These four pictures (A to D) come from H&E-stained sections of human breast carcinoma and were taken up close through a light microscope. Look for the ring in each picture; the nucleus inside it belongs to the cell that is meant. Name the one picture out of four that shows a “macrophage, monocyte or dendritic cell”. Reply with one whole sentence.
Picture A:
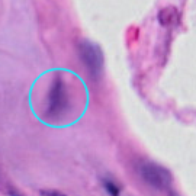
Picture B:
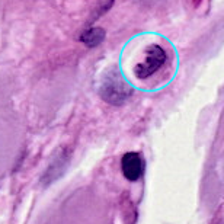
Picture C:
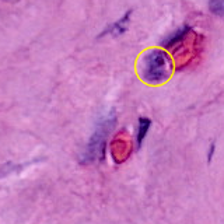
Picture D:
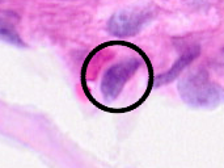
The cell in picture B is the “macrophage, monocyte or dendritic cell”.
